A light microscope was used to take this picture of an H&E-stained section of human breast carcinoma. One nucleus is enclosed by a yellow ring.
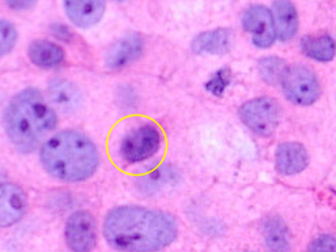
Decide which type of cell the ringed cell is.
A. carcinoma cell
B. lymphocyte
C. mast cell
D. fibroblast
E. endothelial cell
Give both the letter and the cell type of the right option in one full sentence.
In agreement with option A, the ringed cell is a carcinoma cell.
